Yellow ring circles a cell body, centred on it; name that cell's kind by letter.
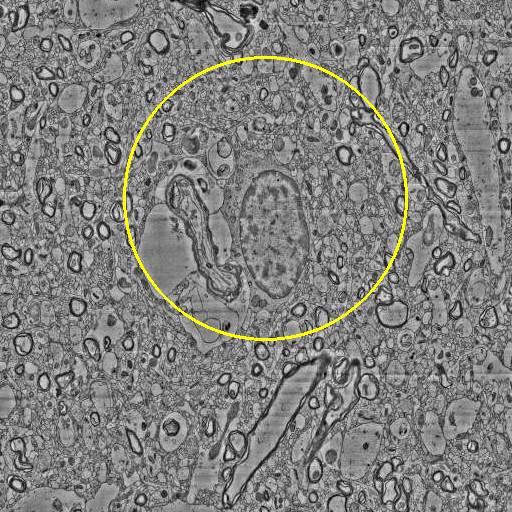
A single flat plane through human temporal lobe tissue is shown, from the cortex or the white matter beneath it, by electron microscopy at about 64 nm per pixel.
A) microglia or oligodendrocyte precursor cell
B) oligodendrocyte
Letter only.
B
